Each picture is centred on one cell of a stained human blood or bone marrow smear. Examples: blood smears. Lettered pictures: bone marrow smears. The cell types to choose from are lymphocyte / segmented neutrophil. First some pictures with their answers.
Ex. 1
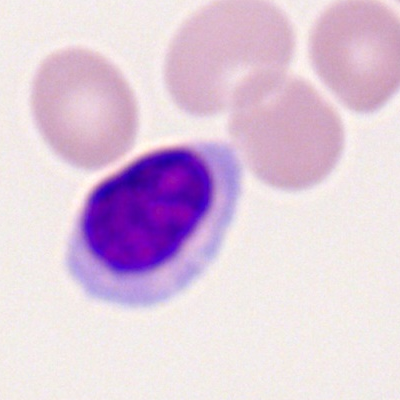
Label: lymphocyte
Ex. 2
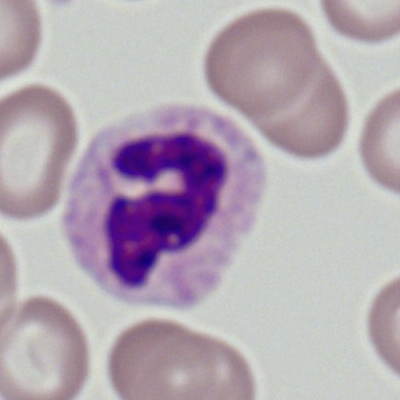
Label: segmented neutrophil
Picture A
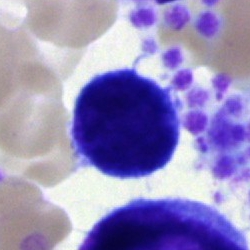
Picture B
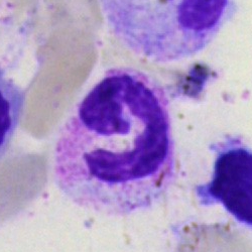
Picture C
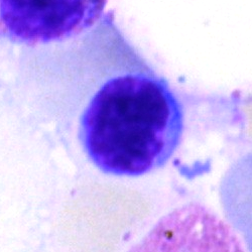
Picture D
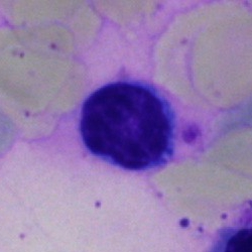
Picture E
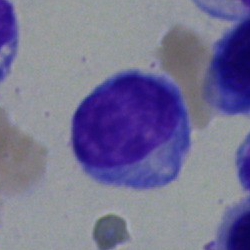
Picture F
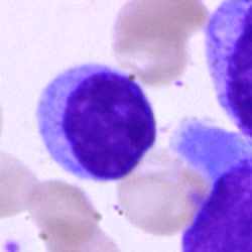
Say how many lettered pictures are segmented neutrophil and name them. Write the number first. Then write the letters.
1, namely B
